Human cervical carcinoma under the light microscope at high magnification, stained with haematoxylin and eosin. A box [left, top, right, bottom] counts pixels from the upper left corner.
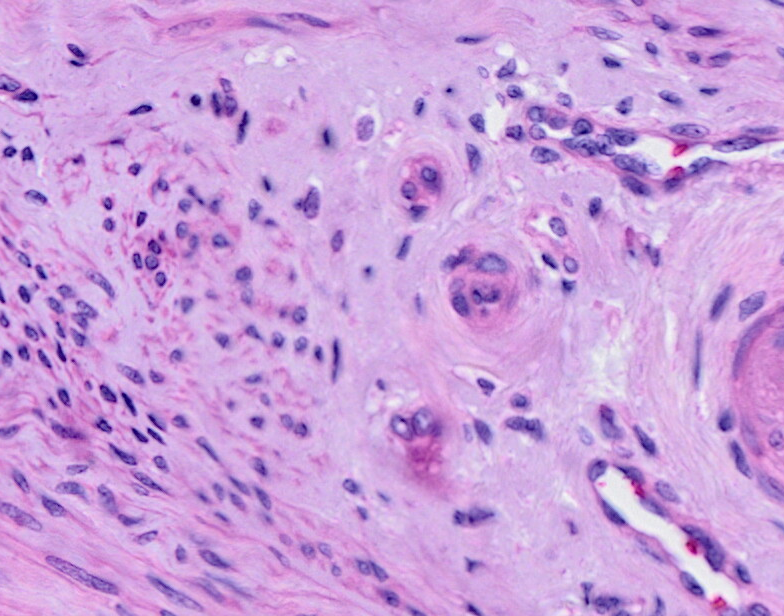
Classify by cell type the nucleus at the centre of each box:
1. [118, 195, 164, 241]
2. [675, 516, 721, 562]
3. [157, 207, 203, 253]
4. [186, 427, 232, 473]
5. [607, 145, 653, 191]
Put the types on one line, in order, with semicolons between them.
smooth muscle cell; endothelial cell; smooth muscle cell; smooth muscle cell; endothelial cell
